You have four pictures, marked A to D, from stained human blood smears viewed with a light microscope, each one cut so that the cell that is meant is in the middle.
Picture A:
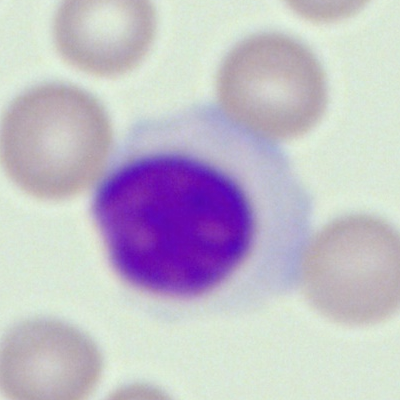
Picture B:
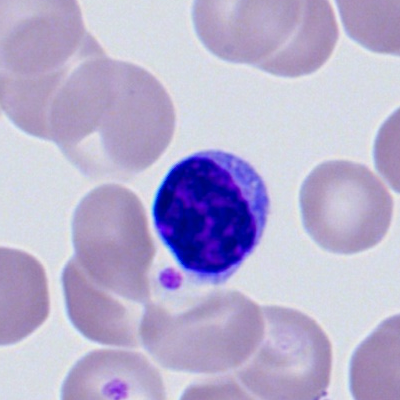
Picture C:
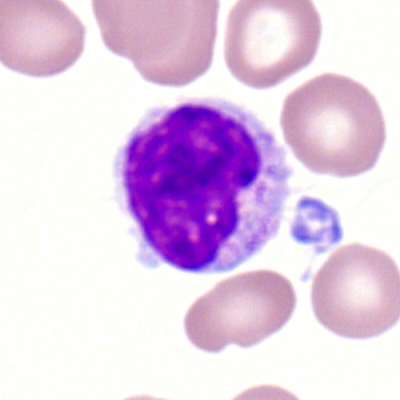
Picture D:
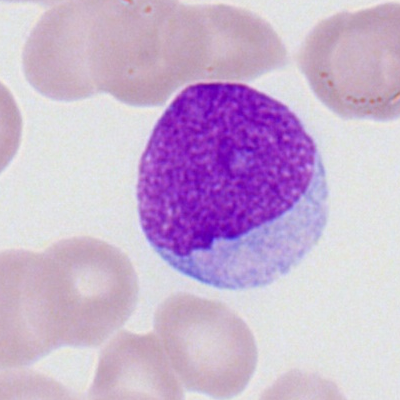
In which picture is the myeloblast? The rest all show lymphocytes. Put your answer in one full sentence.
It is picture D that shows the myeloblast.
